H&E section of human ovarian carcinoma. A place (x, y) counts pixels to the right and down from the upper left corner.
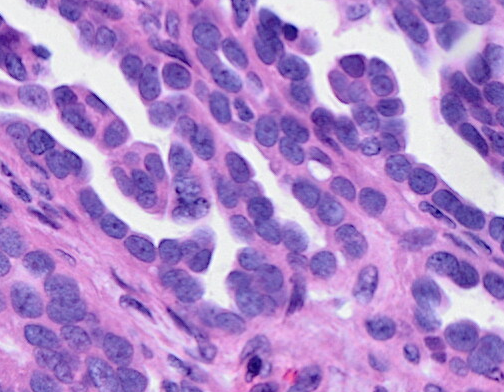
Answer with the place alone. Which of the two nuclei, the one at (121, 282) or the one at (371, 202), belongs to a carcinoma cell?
(371, 202)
